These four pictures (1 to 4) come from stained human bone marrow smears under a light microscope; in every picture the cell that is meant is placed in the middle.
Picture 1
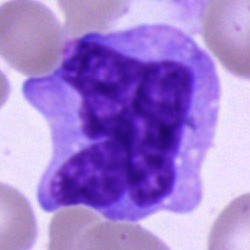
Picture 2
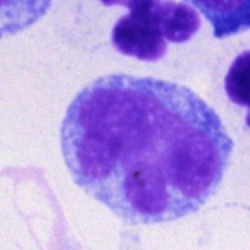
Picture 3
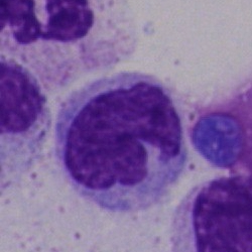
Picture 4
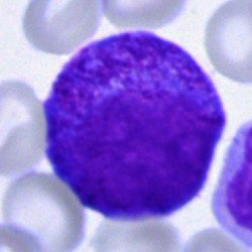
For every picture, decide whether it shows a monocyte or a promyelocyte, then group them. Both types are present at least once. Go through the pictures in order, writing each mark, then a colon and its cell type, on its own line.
1: monocyte
2: monocyte
3: monocyte
4: promyelocyte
